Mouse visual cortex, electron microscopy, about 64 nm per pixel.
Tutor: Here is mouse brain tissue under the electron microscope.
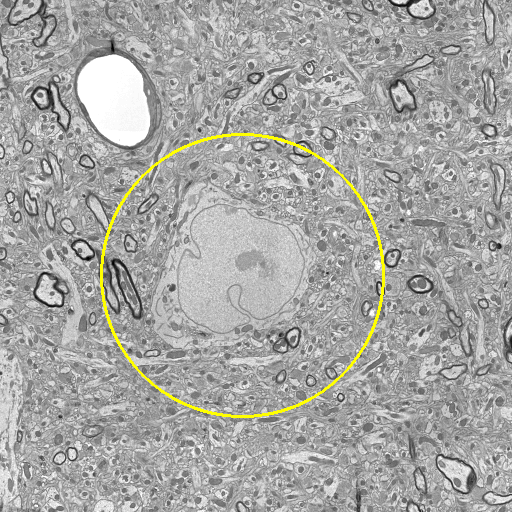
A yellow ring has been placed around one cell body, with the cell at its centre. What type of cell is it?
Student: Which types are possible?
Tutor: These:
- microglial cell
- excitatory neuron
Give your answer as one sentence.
What the ring picks out here is an excitatory neuron.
